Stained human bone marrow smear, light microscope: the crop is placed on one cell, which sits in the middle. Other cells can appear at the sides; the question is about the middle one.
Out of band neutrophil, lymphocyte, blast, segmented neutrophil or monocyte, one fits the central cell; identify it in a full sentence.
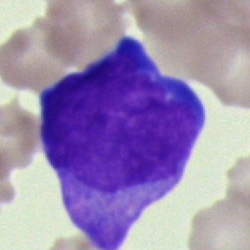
The cell around which this crop is centred is a blast.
